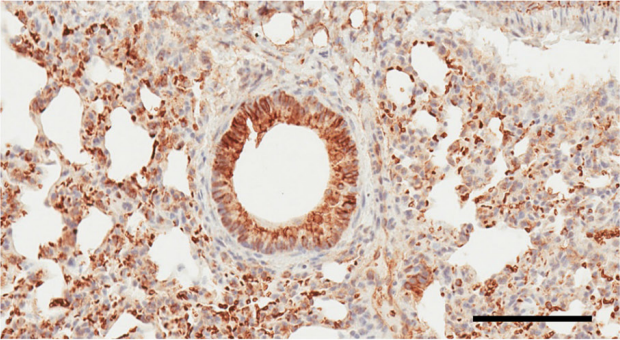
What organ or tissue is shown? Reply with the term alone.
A: Lungs.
